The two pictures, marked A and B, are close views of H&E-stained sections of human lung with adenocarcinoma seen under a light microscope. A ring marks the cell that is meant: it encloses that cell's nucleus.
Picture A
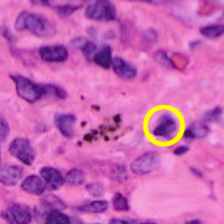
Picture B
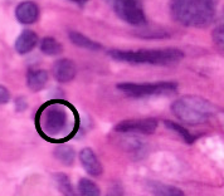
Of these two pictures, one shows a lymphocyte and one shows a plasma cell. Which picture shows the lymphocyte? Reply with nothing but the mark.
A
